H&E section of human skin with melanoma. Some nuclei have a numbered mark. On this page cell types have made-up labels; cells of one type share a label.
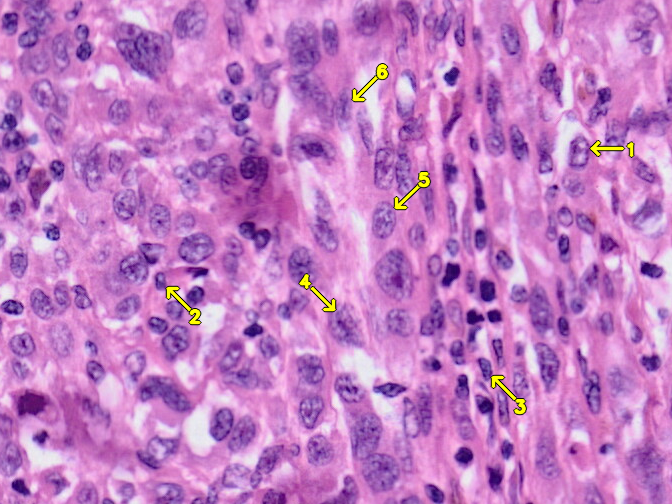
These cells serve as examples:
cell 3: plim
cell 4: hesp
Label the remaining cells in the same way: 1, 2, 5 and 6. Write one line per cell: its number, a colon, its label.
1: hesp
2: plim
5: hesp
6: hesp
